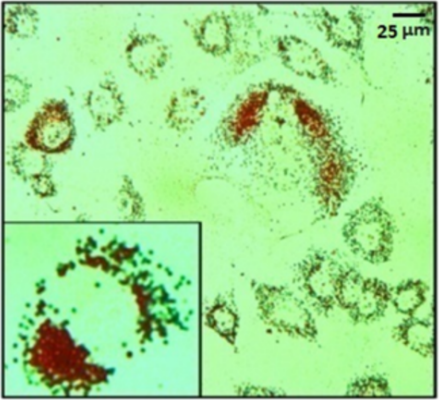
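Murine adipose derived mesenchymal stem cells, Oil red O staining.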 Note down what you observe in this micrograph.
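Many round cell outlines are traced by rings of small dark red droplets, leaving a paler centre, while a few cells are packed with larger red clumps that gather toward one side. The enlarged inset shows a single cell in which the droplets form a crescent along one edge and a dense red cluster at the other.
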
